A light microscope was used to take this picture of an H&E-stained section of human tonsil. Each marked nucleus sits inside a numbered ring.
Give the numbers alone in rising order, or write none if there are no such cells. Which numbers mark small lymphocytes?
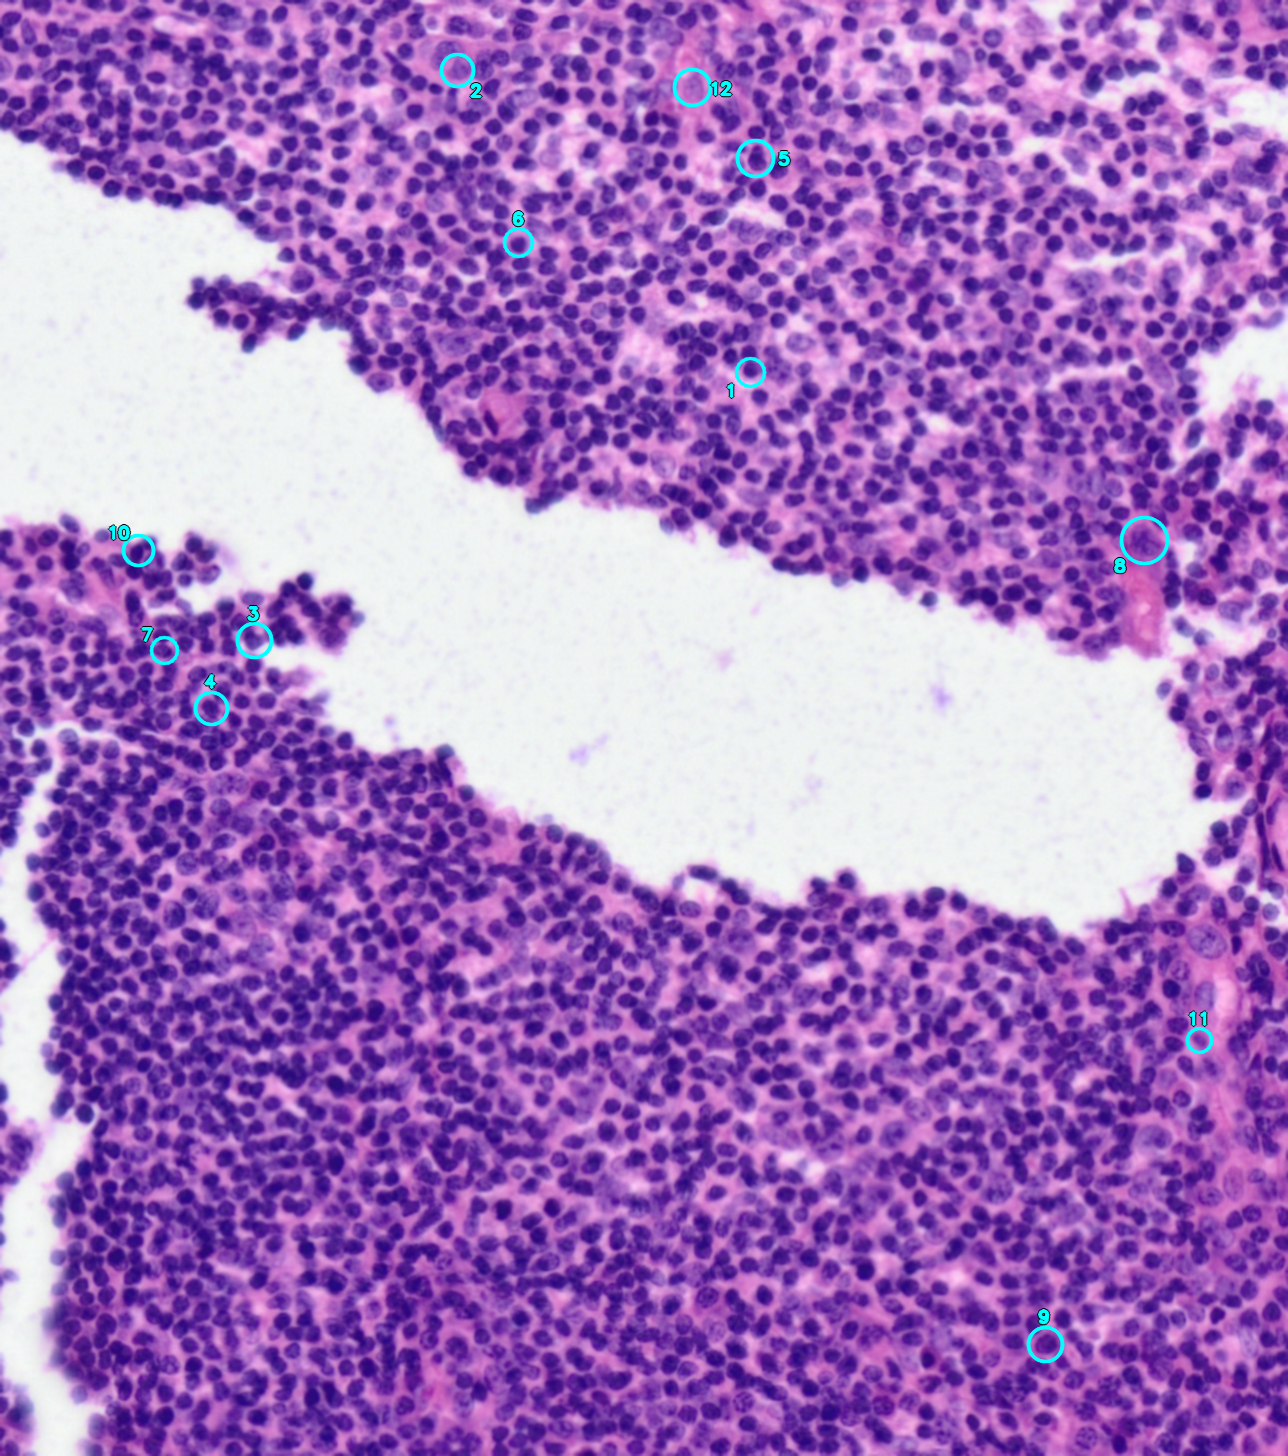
1, 3, 4, 5, 6, 7, 10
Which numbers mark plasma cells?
9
